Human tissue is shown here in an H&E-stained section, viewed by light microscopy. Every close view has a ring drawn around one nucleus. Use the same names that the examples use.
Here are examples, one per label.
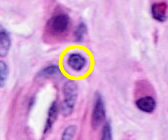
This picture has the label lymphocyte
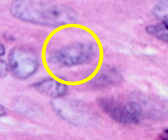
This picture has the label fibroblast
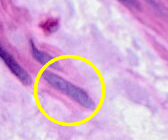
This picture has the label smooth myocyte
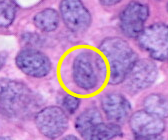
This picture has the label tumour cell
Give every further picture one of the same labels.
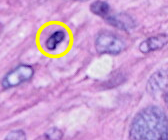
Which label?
lymphocyte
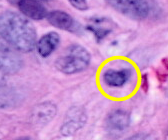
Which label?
lymphocyte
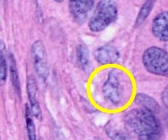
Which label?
fibroblast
